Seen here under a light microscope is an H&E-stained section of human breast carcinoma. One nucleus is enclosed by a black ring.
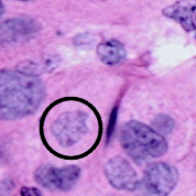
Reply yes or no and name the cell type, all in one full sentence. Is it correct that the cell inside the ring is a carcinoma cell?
Yes, as far as cell type goes, the cell inside the ring is a carcinoma cell.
